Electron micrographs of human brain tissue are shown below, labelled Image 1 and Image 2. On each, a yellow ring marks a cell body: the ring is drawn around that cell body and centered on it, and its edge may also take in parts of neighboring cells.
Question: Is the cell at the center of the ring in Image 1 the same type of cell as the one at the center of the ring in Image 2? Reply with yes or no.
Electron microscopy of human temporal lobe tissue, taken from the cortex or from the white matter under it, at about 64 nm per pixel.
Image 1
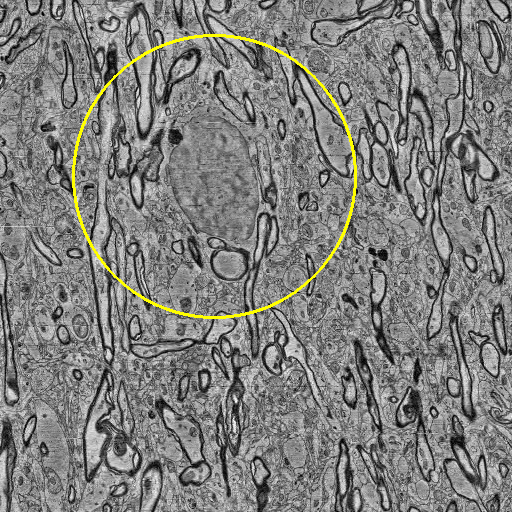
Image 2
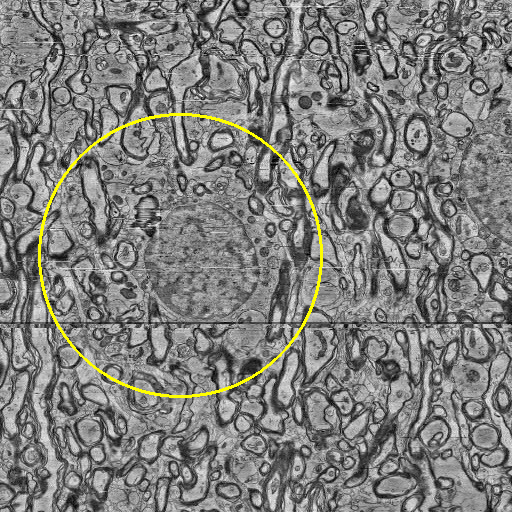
yes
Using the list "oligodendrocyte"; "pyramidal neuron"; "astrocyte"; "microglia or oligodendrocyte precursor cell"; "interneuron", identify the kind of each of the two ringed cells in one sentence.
Each of the two rings is centred on an oligodendrocyte.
